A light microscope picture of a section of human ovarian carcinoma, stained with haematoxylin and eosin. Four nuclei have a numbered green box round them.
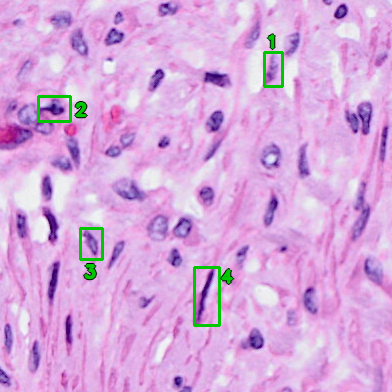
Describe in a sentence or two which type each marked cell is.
Cell 1 is a fibroblast, cell 2 is an endothelial cell, cell 3 is a fibroblast and cell 4 is a fibroblast.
